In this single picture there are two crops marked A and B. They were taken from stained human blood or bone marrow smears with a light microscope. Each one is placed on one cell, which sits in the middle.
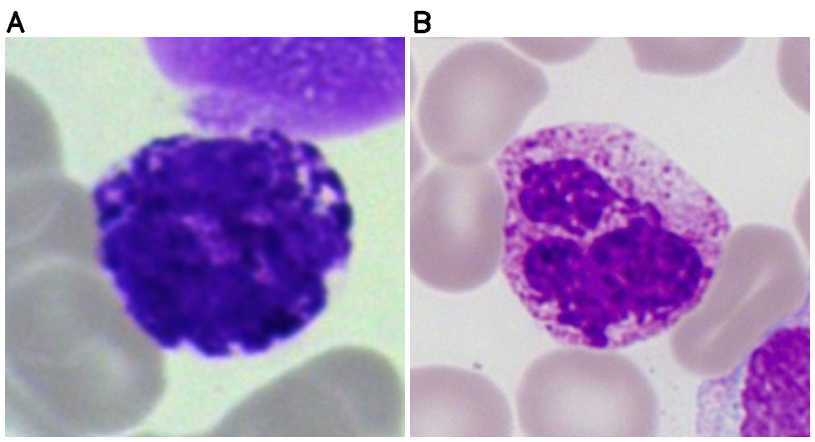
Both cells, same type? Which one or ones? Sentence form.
Yes, the middle cells in the two crops are basophils.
